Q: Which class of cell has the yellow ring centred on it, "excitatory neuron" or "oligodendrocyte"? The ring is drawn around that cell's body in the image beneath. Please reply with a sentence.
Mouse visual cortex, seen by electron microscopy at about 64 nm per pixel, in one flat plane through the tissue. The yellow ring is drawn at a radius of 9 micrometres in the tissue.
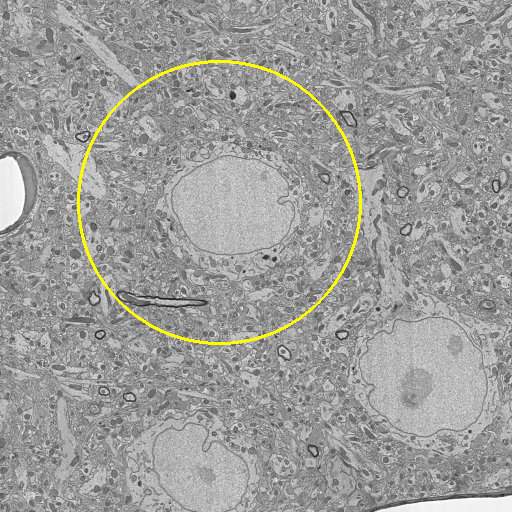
It is centred on an excitatory neuron.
